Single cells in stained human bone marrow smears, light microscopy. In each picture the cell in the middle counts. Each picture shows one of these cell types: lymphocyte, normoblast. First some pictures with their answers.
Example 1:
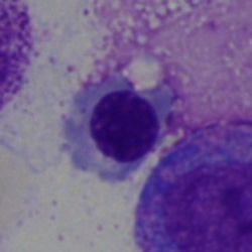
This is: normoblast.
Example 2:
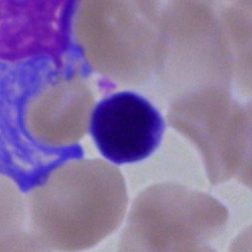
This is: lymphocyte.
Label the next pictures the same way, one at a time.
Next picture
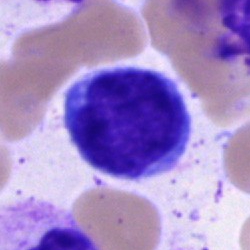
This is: lymphocyte.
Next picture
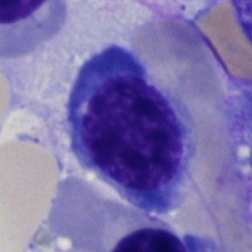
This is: normoblast.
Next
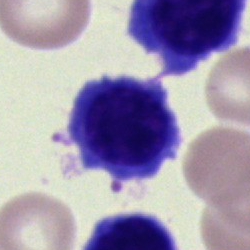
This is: normoblast.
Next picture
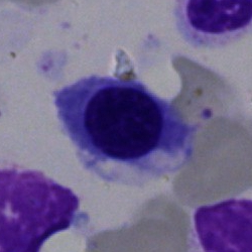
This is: normoblast.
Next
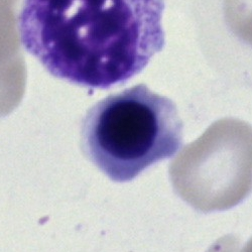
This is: normoblast.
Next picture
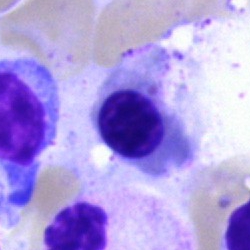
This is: normoblast.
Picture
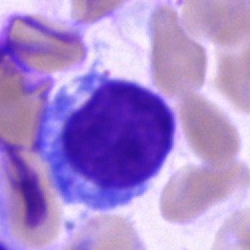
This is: lymphocyte.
